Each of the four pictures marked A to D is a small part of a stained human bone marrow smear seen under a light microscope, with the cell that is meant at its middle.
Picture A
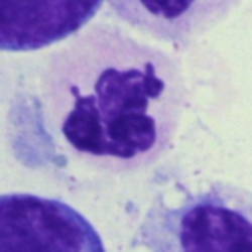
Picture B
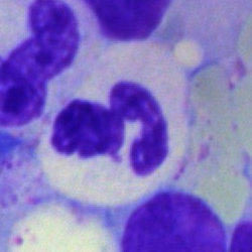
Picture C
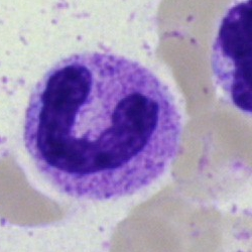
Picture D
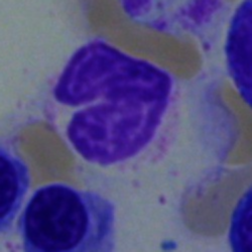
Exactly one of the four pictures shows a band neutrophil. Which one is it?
D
